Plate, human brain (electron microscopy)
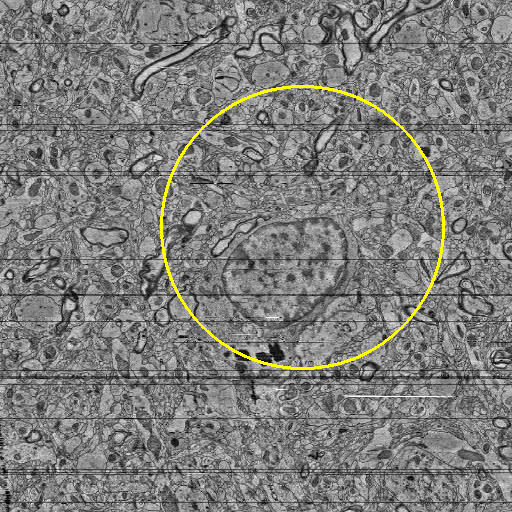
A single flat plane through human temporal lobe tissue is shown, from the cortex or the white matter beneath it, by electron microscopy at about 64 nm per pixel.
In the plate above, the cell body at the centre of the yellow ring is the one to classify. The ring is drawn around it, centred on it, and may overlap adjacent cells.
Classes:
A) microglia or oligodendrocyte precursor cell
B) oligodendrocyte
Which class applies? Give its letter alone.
B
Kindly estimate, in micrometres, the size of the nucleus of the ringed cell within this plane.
The nucleus comes to roughly 9 by 7 micrometres in this plane.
